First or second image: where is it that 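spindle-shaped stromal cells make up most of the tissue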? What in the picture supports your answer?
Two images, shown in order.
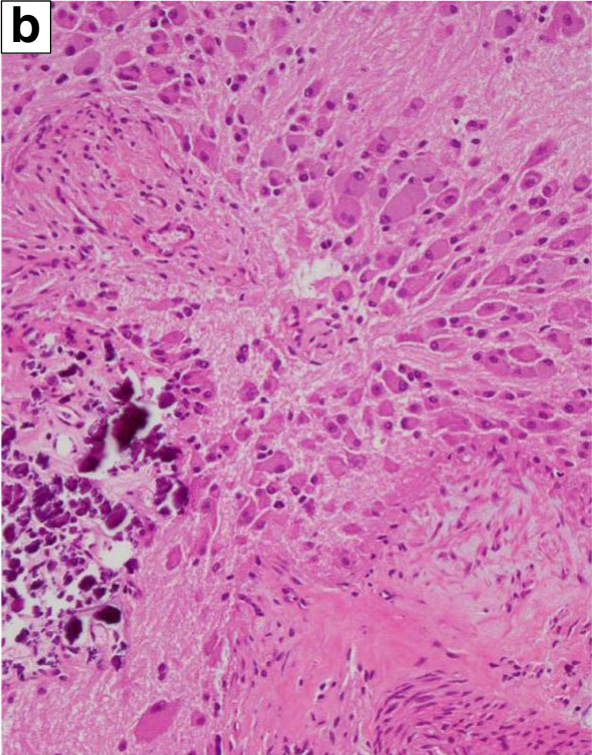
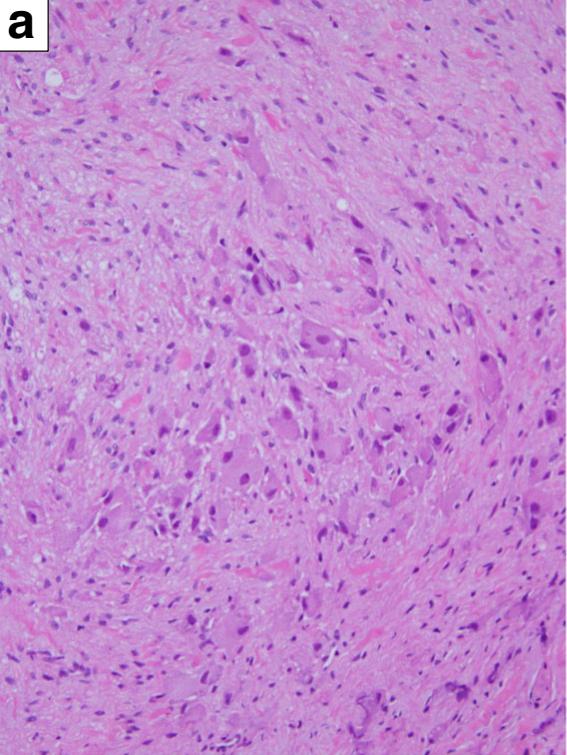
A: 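Second image: wavy spindle cells in a fibrillary stroma fill most of the field, with only scattered larger cells. So: the second image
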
